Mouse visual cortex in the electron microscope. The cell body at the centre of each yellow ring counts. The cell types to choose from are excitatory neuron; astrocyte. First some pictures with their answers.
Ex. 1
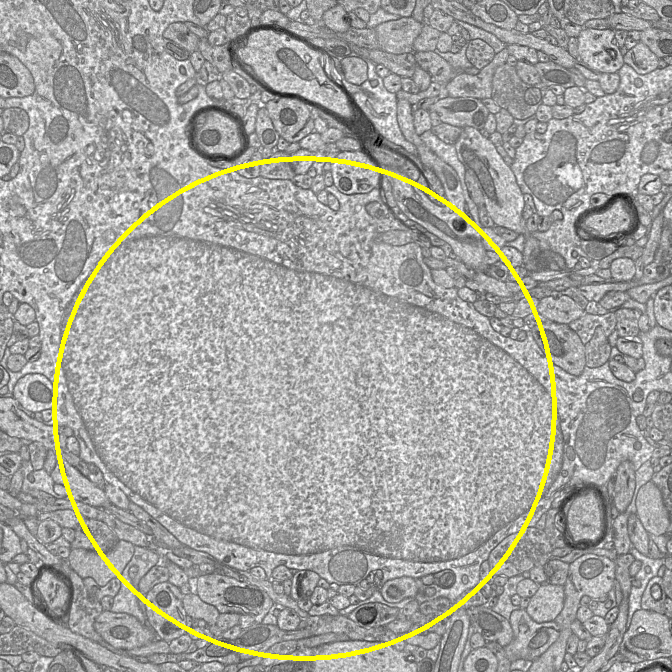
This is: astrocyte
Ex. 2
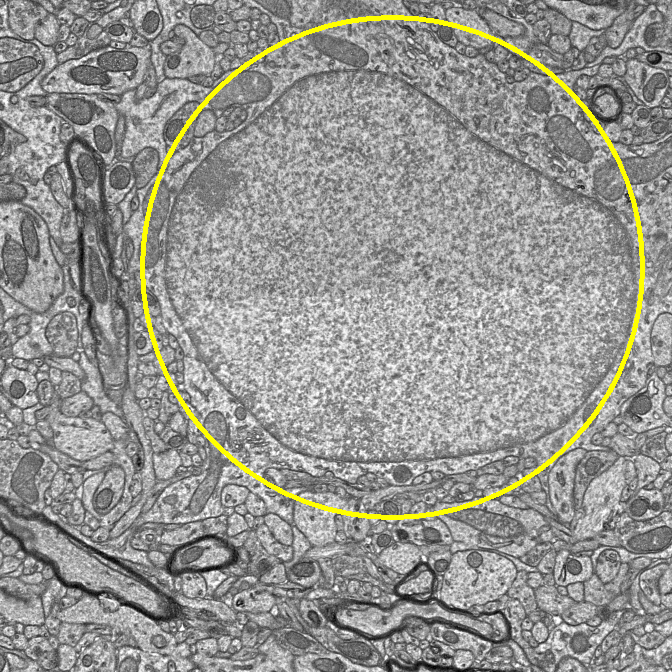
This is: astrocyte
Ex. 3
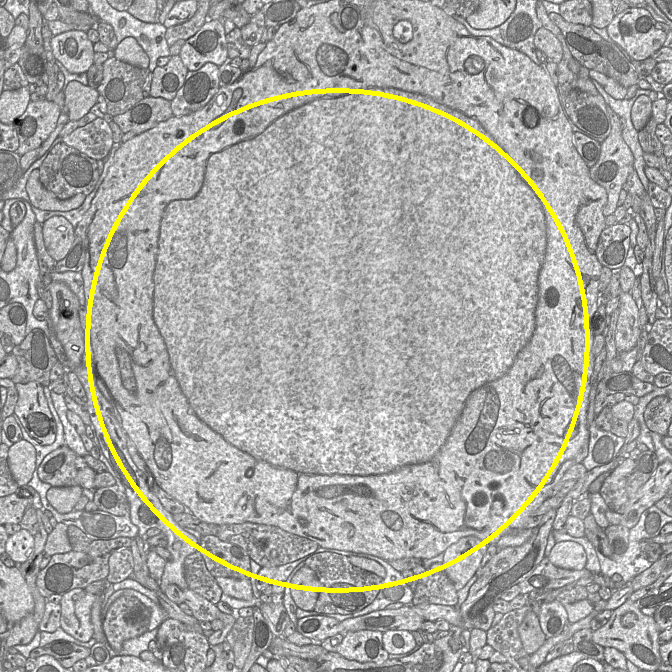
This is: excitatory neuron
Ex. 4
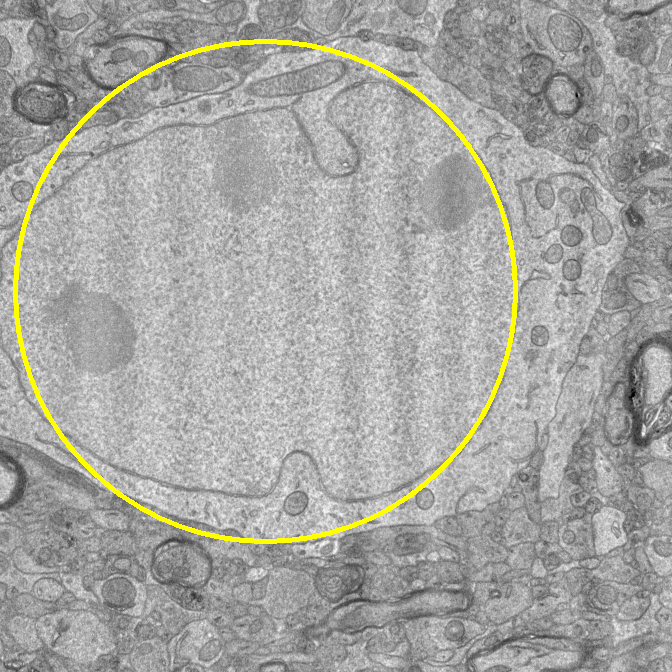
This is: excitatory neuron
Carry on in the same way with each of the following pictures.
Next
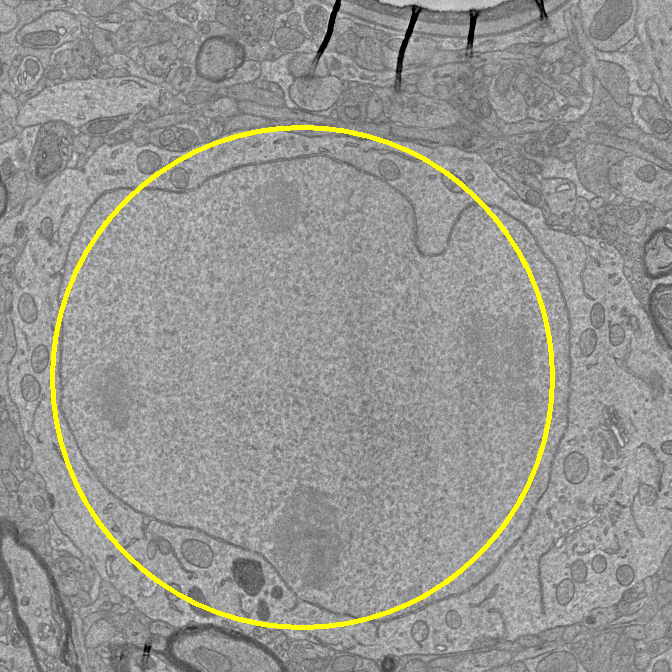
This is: excitatory neuron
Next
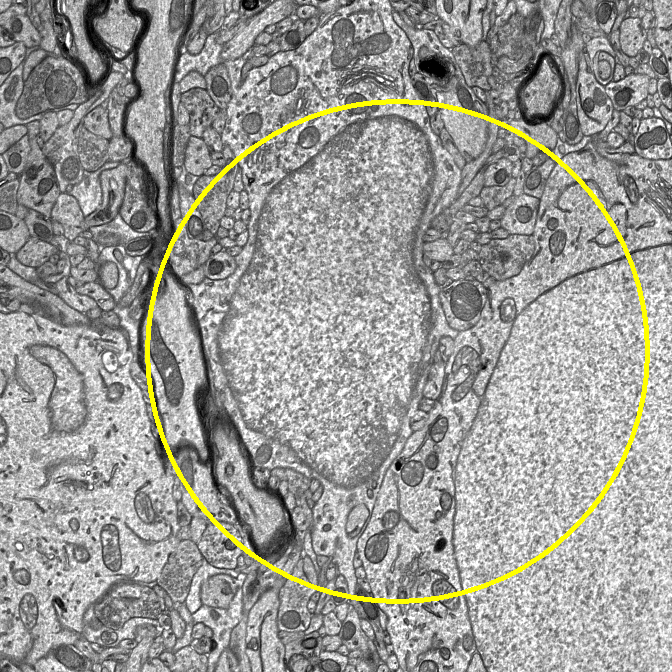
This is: astrocyte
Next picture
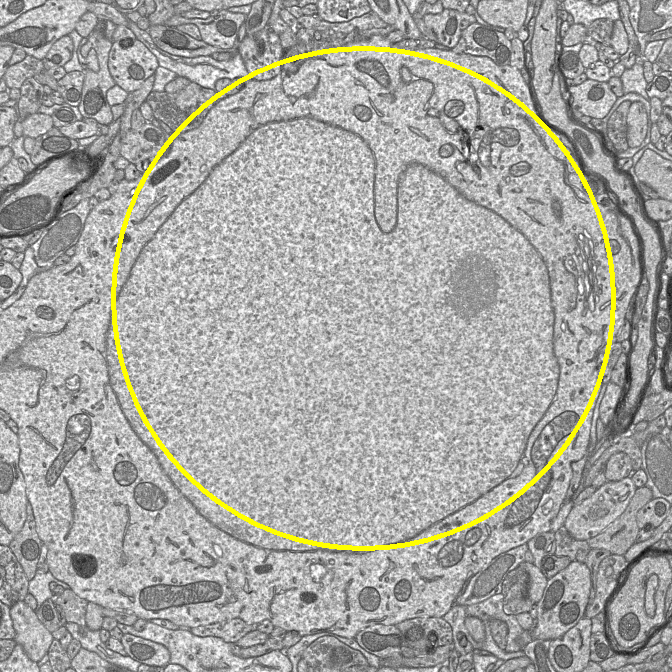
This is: excitatory neuron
